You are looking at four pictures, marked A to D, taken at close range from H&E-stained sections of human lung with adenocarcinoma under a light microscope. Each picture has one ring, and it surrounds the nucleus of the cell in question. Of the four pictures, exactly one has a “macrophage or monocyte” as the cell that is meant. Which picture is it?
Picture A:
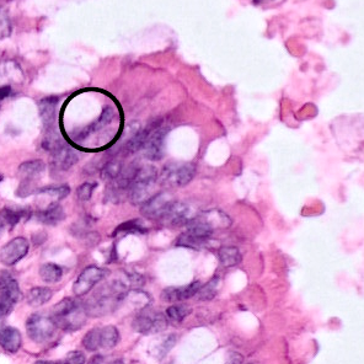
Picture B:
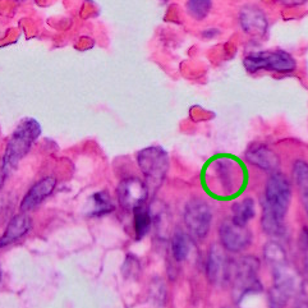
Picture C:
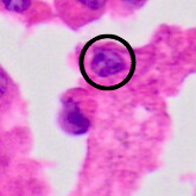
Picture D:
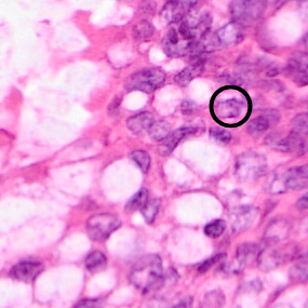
C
